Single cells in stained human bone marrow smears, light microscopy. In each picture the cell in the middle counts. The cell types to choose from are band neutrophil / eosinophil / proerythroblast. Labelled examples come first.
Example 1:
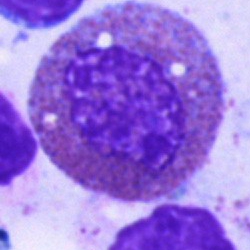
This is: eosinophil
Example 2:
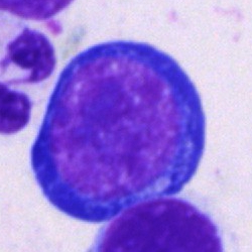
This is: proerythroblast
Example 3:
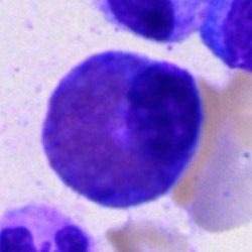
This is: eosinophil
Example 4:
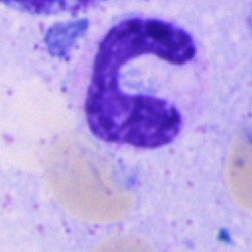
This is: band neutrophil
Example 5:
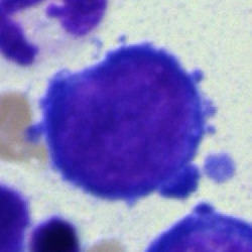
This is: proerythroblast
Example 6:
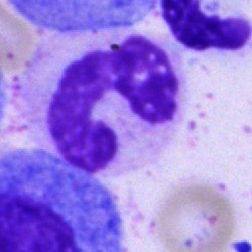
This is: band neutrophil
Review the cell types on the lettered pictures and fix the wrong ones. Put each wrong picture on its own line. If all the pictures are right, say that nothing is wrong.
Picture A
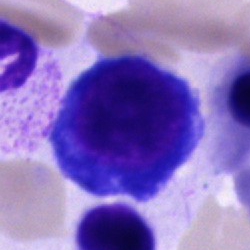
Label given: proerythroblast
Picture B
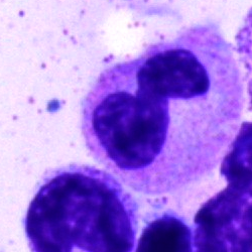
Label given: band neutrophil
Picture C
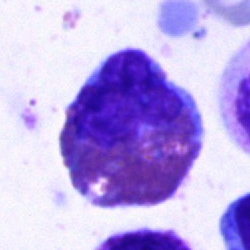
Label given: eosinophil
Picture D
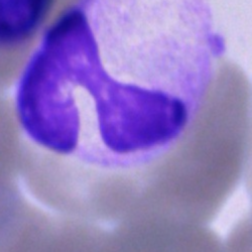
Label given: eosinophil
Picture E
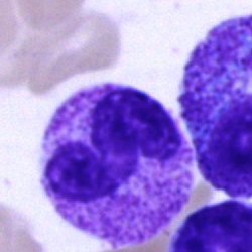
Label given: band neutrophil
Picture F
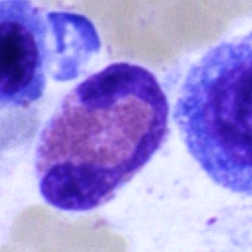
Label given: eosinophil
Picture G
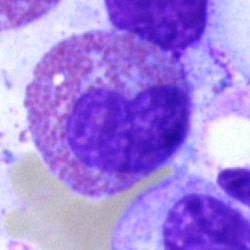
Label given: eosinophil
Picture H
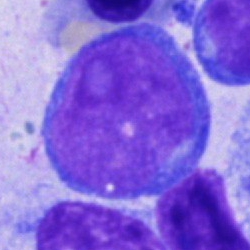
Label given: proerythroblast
D is labelled eosinophil; correct label: band neutrophil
